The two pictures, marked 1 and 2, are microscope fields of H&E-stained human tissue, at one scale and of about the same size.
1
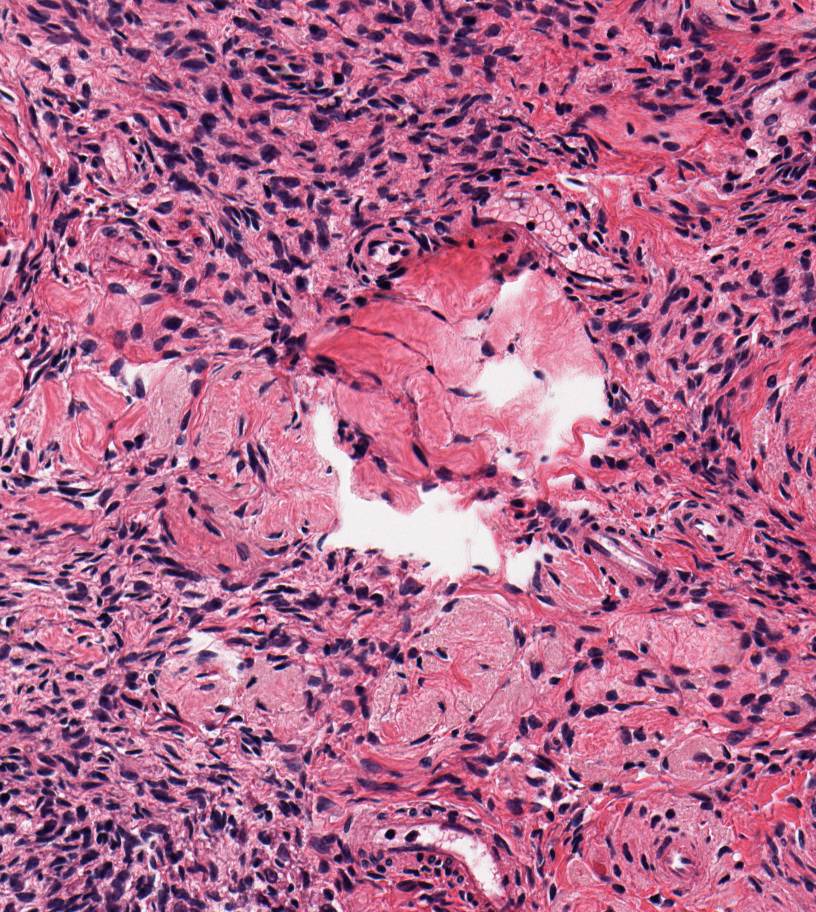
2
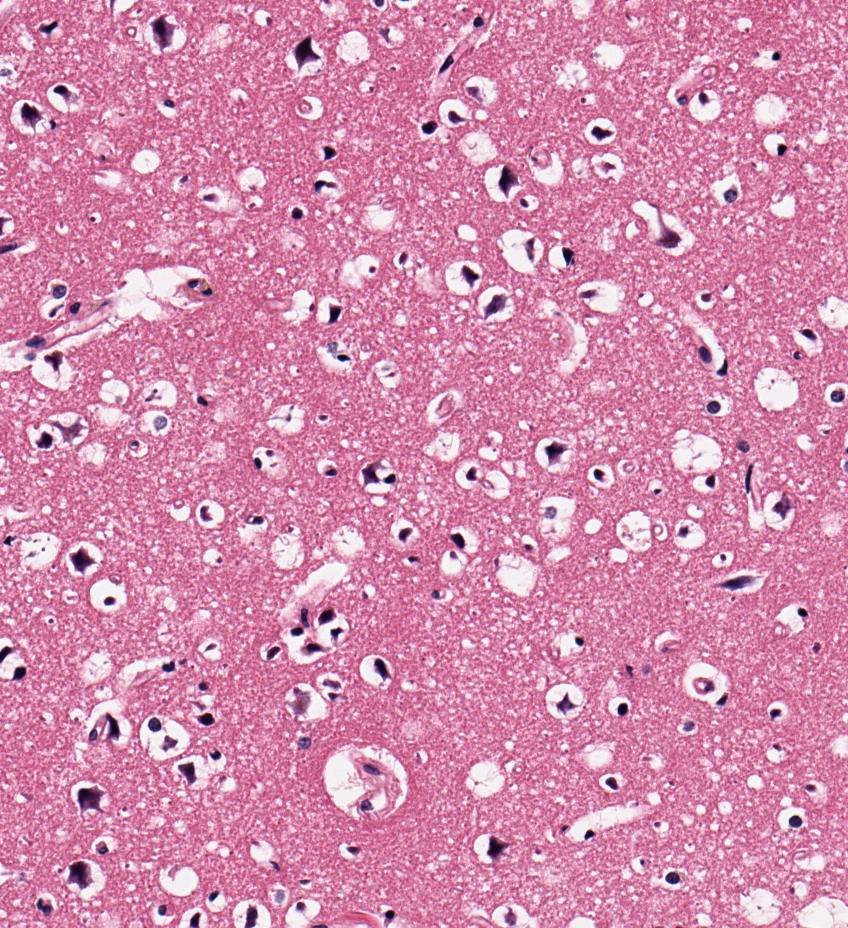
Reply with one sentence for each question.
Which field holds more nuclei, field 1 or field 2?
The larger number of nuclei is in field 1.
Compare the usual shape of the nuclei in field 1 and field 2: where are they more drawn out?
It is field 1 whose nuclei are the more elongated.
